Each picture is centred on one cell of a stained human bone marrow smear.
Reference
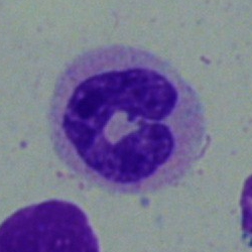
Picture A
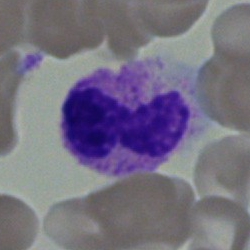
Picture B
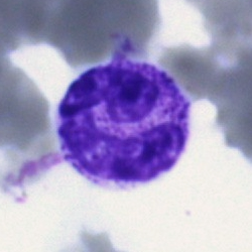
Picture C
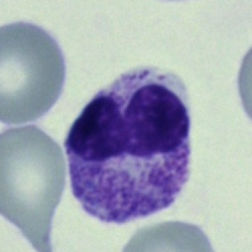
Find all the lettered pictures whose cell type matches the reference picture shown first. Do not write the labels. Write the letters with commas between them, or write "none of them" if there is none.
A, B, C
